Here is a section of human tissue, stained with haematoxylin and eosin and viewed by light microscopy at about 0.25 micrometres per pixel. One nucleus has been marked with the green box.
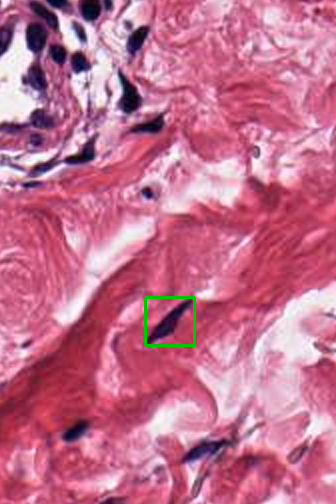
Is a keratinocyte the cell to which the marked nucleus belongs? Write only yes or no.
no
